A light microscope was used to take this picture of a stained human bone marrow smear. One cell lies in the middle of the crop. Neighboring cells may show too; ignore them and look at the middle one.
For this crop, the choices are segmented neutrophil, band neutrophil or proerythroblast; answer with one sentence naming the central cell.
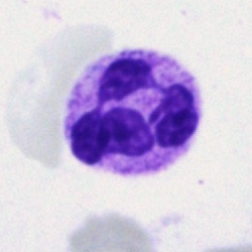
At the center of the crop sits a segmented neutrophil.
